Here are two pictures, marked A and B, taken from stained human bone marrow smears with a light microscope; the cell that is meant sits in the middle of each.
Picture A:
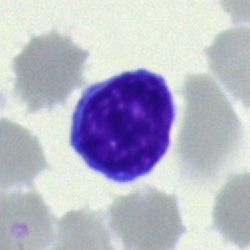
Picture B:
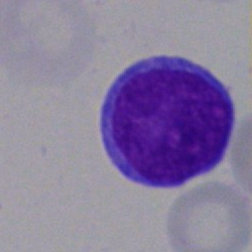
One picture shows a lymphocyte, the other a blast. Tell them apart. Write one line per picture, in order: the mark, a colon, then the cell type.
A: lymphocyte
B: blast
